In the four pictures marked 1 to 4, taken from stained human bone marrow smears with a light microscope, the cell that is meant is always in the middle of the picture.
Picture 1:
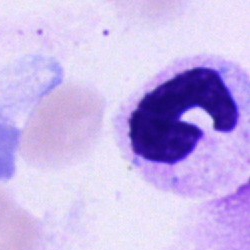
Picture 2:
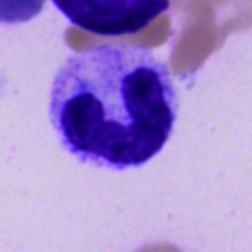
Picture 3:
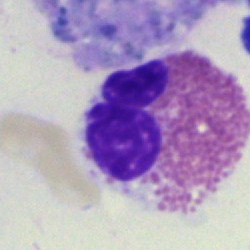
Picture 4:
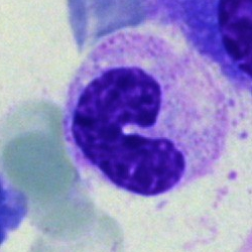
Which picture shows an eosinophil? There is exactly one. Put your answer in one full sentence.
Picture 3 shows the eosinophil.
